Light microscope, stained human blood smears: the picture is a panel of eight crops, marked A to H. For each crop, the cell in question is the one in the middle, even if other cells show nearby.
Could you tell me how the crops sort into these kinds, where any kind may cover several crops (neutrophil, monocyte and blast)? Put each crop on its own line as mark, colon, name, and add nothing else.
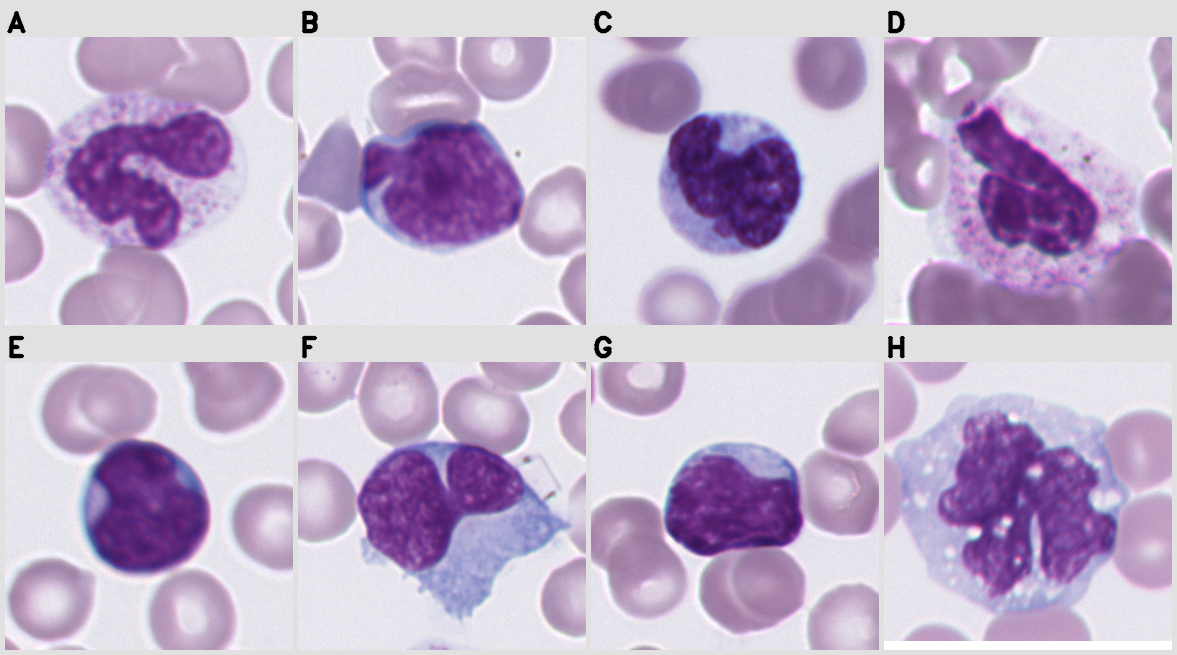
A: neutrophil
B: blast
C: monocyte
D: neutrophil
E: blast
F: blast
G: blast
H: monocyte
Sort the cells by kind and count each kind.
blast: 4
neutrophil: 2
monocyte: 2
